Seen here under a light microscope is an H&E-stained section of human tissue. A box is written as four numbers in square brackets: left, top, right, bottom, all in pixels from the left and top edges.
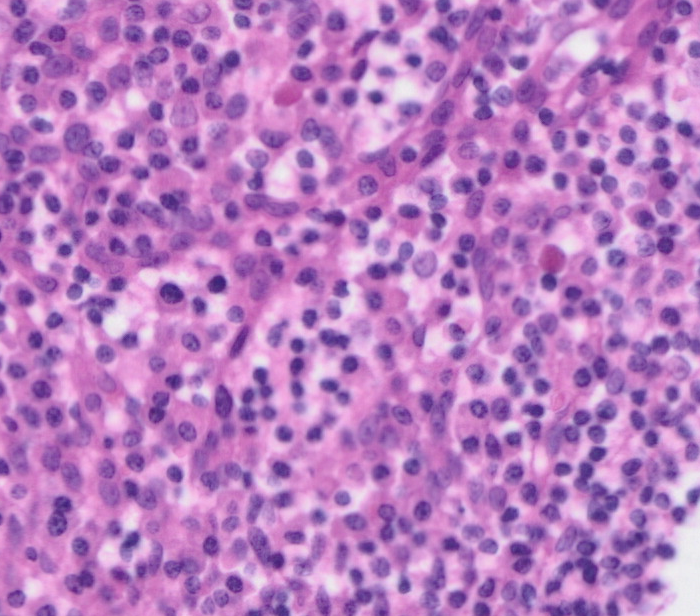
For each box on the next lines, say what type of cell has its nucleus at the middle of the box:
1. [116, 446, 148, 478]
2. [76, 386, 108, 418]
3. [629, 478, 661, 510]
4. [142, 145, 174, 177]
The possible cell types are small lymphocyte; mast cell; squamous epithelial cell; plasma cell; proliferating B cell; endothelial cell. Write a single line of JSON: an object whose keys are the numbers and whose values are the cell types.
{"1": "plasma cell", "2": "plasma cell", "3": "small lymphocyte", "4": "plasma cell"}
